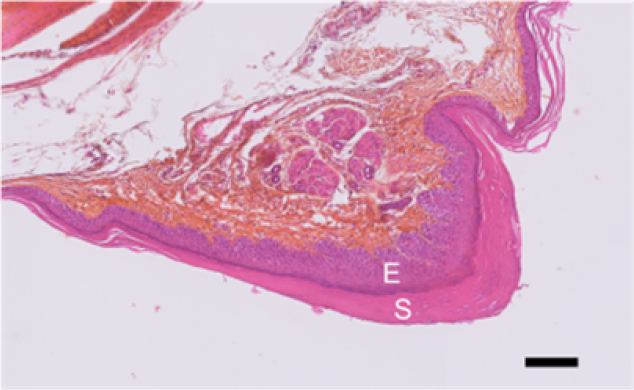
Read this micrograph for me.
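The curved surface of this section is covered by a thick, pink, anucleate outer band lying on a broad dark purple layer of densely packed nucleated cells, beneath which orange-stained connective tissue and pink rounded profiles fill the deeper part. The purple nucleated layer is the epidermis and the pink outer band the stratum corneum.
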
